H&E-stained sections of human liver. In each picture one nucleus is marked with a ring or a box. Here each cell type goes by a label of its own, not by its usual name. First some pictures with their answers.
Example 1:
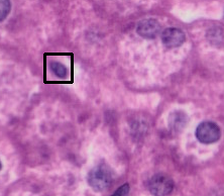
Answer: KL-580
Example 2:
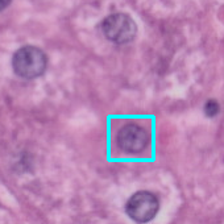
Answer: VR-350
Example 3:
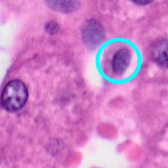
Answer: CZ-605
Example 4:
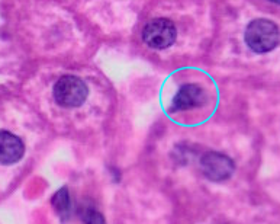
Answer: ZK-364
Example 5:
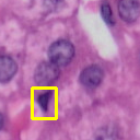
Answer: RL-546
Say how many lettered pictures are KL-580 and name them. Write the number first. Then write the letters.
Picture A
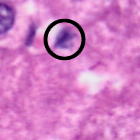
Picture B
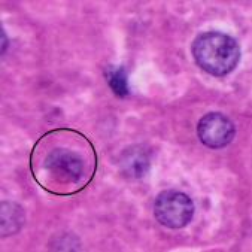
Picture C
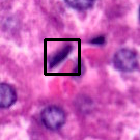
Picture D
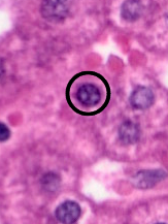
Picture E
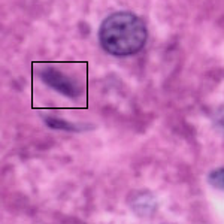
0, none of them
